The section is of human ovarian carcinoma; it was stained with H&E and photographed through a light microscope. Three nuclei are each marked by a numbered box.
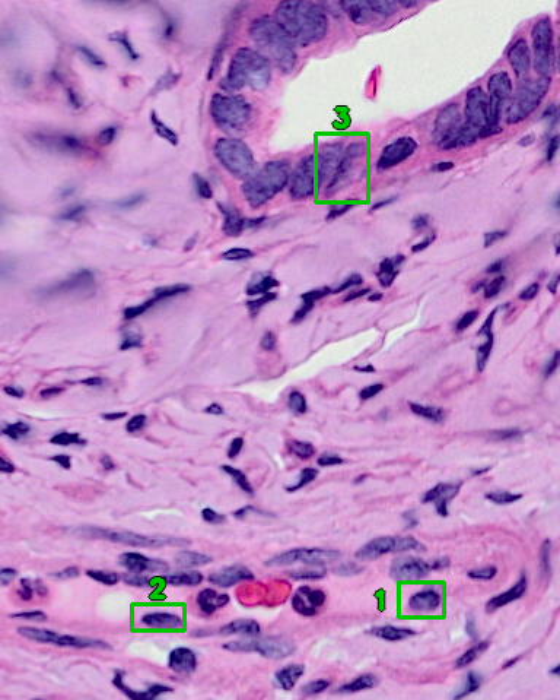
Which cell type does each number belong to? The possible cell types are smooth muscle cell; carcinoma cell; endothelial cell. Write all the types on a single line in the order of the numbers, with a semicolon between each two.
endothelial cell; endothelial cell; carcinoma cell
